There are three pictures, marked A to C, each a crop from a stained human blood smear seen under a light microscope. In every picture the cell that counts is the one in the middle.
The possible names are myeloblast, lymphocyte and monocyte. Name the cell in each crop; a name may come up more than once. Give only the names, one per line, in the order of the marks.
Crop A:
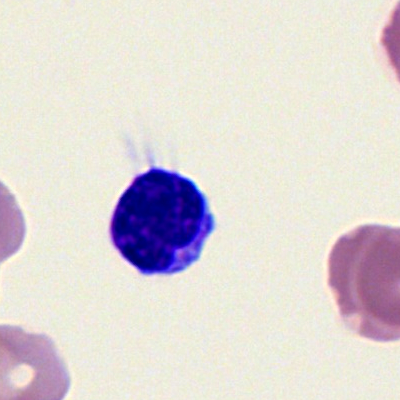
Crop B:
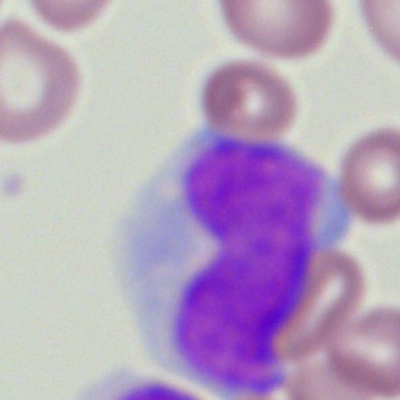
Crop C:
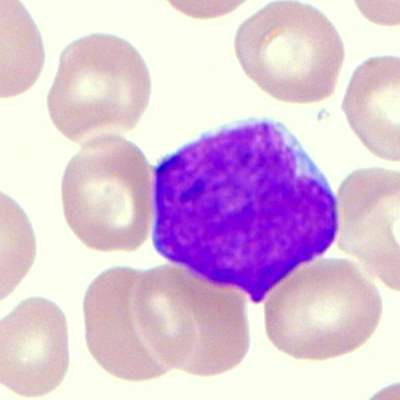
lymphocyte
monocyte
myeloblast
